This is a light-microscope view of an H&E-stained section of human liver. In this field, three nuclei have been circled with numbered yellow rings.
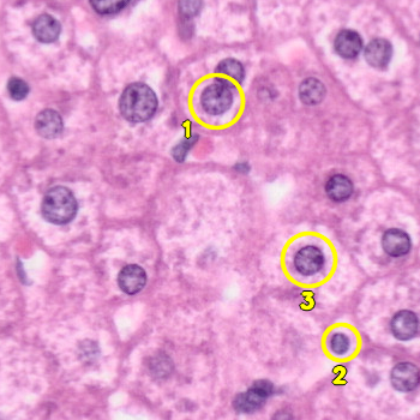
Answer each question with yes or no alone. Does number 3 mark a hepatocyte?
yes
